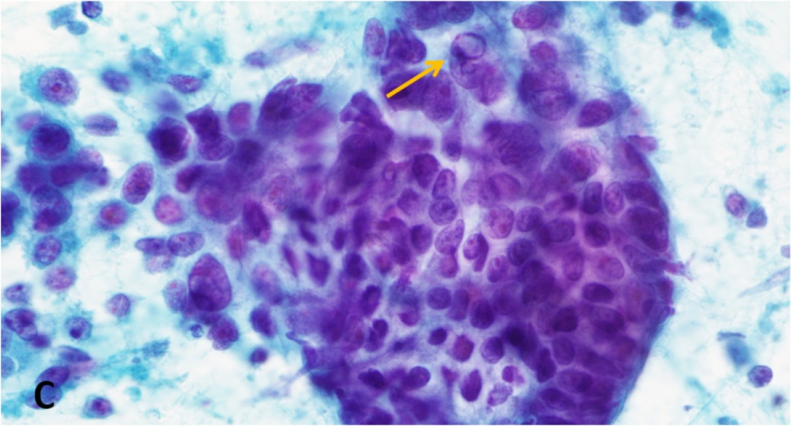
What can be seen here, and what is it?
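A dense, crowded cluster of epithelial cells shows overlapping nuclei that vary strikingly in size and shape, some large and irregular, others smaller and darker. The nuclei stain purple with fine chromatin, and the cytoplasm is scant and poorly defined at the cluster edge, where looser cells spill out onto a pale blue background. One nucleus near the top has a pale, cleared centre with a crisp rim, a nuclear clearing like that seen in papillary thyroid carcinoma. The marked nuclear pleomorphism of the group, however, is more than that tumour usually shows.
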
